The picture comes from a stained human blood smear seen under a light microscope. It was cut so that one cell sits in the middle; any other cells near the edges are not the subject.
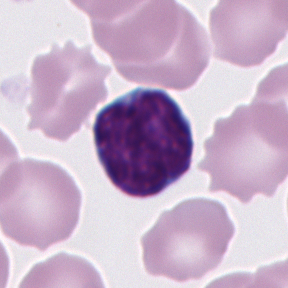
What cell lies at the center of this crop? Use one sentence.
Here the centrally located cell is a lymphocyte.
